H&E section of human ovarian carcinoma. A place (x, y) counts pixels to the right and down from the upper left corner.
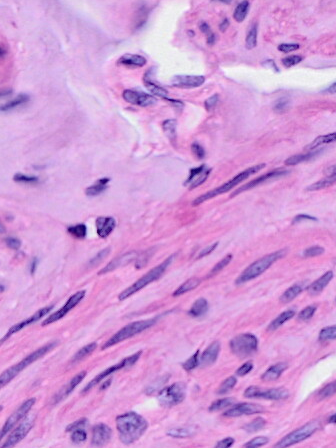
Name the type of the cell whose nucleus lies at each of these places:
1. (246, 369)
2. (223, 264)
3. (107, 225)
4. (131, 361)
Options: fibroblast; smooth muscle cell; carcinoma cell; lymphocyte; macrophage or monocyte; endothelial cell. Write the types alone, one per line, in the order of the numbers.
smooth muscle cell
smooth muscle cell
lymphocyte
smooth muscle cell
